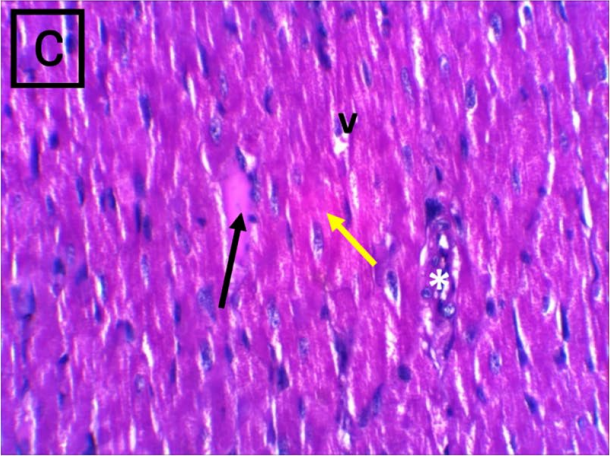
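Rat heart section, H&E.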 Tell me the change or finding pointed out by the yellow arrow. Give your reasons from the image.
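Hyalinized fibers. The arrow points to a patch of more intensely pink, homogeneous fiber cytoplasm.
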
